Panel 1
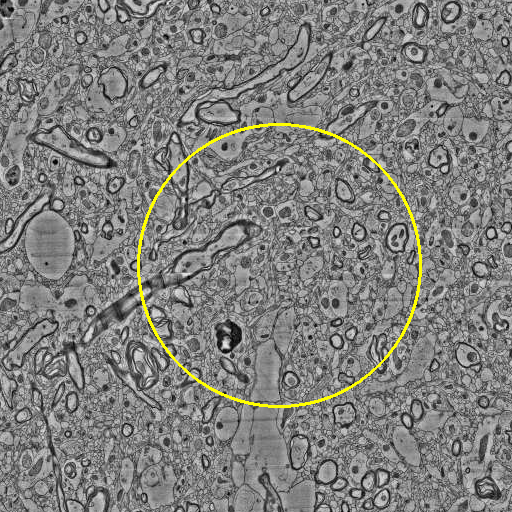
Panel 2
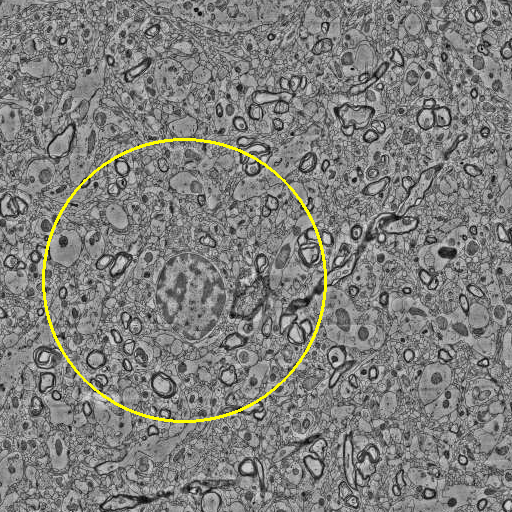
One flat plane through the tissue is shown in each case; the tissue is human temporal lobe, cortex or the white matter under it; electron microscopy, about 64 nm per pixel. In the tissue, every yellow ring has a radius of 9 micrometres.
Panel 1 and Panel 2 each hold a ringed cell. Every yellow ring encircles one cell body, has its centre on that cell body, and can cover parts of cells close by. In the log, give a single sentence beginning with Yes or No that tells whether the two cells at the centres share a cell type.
No, in Panel 1 and Panel 2 the centred cells are of two cell types.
